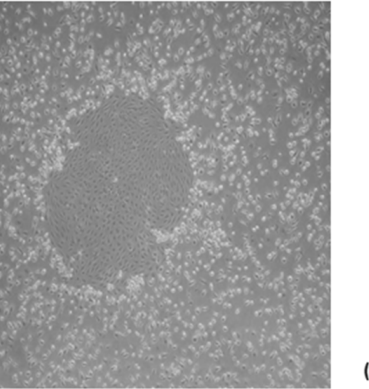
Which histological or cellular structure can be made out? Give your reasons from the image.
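Scattered single cells surround the dense patch. On this evidence: colony.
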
